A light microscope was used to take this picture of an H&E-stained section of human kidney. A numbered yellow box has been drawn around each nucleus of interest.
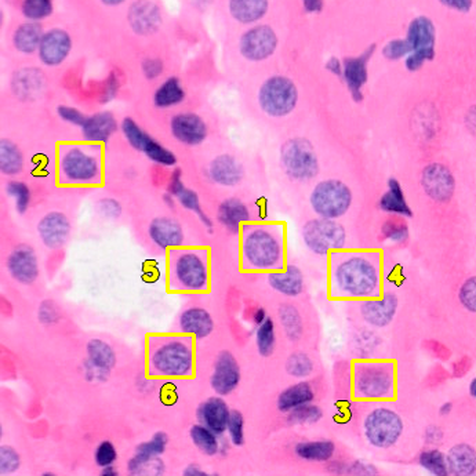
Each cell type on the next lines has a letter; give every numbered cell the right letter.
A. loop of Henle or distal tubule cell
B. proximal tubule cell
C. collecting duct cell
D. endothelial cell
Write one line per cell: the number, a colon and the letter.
1: C
2: A
3: C
4: C
5: A
6: A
